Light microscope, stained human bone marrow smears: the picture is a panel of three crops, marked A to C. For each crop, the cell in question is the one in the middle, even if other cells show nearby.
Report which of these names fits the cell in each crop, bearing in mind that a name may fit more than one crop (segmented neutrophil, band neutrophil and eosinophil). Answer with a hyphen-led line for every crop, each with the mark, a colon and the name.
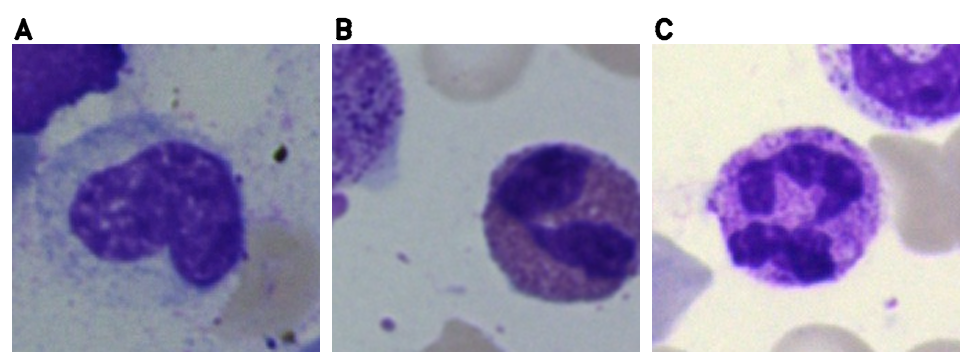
- A: band neutrophil
- B: eosinophil
- C: segmented neutrophil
